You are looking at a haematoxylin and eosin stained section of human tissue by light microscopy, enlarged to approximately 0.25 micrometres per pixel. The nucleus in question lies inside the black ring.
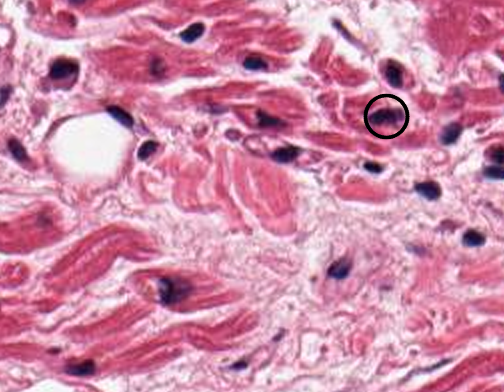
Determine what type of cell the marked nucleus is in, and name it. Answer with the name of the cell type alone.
cardiomyocyte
